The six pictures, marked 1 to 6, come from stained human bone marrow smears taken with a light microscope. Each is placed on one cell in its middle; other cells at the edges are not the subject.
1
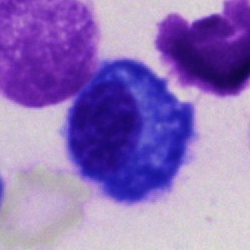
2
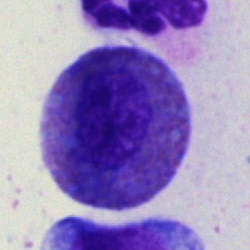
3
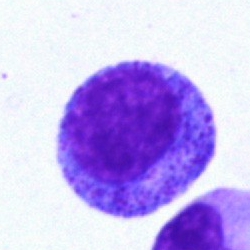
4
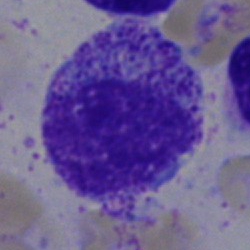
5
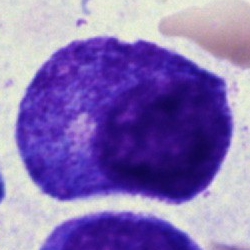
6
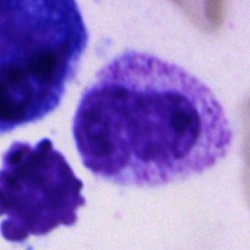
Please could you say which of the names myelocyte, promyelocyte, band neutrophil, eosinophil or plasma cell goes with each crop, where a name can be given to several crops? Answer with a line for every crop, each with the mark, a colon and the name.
1: plasma cell
2: eosinophil
3: promyelocyte
4: myelocyte
5: promyelocyte
6: band neutrophil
